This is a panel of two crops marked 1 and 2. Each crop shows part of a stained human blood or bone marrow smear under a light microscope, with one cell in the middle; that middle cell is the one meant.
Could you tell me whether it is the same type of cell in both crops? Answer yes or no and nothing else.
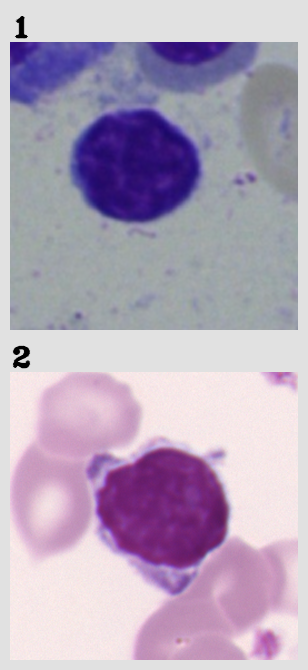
yes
